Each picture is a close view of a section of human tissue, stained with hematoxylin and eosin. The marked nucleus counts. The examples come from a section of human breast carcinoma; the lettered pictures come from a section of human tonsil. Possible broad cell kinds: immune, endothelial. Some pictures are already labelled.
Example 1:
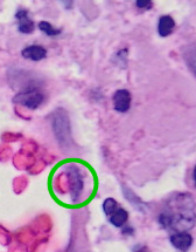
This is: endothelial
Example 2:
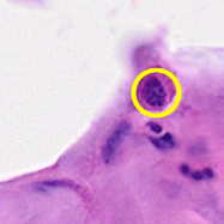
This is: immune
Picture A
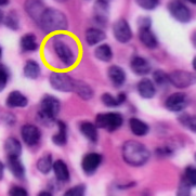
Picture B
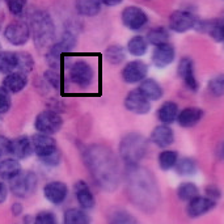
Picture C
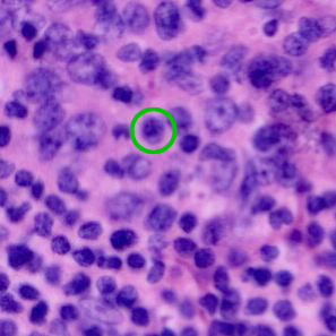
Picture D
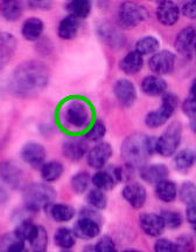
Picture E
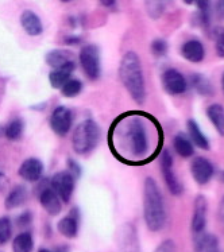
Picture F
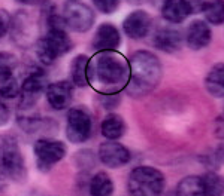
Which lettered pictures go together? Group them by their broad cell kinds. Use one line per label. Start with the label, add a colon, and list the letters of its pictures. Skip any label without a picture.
immune: C, F
endothelial: A, B, D, E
